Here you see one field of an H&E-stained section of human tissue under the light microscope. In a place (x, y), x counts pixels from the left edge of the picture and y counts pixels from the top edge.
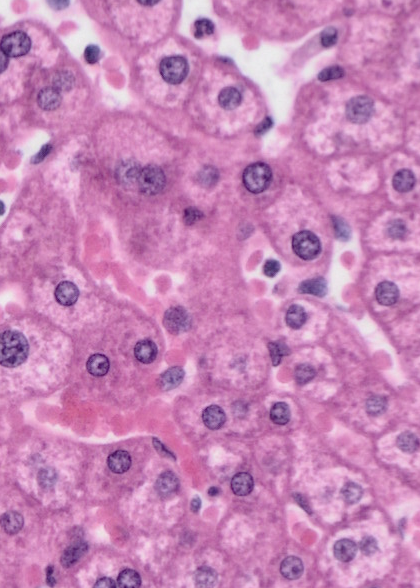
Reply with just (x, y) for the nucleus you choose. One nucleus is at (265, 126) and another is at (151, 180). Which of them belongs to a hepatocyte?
(151, 180)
